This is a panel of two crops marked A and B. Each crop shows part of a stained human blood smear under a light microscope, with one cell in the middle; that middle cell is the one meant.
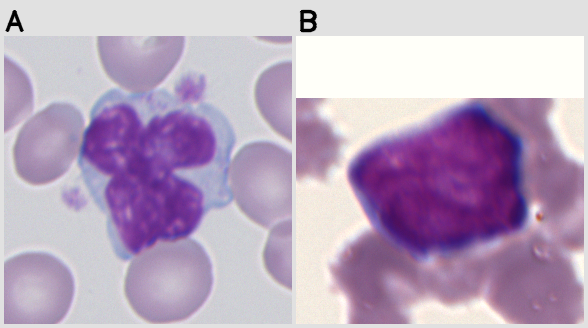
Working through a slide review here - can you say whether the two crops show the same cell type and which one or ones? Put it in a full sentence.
Yes, both crops show myeloblasts, to put it briefly.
